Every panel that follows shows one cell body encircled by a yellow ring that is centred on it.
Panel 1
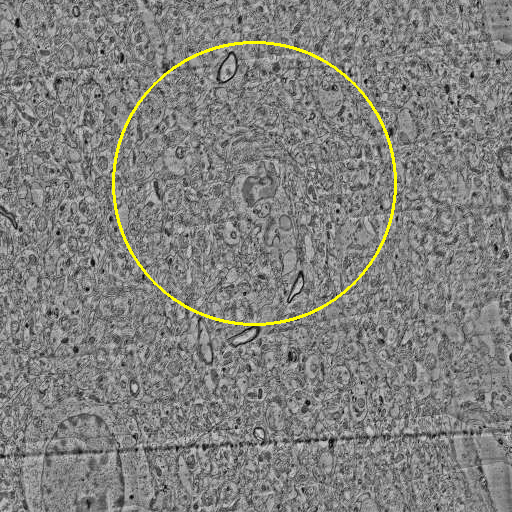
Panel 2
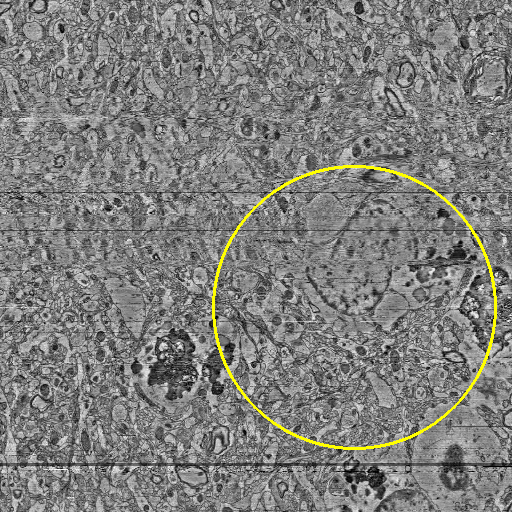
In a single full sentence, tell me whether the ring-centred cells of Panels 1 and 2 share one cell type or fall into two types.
In Panel 1 and Panel 2, the cells at the ring centres fall into two types.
